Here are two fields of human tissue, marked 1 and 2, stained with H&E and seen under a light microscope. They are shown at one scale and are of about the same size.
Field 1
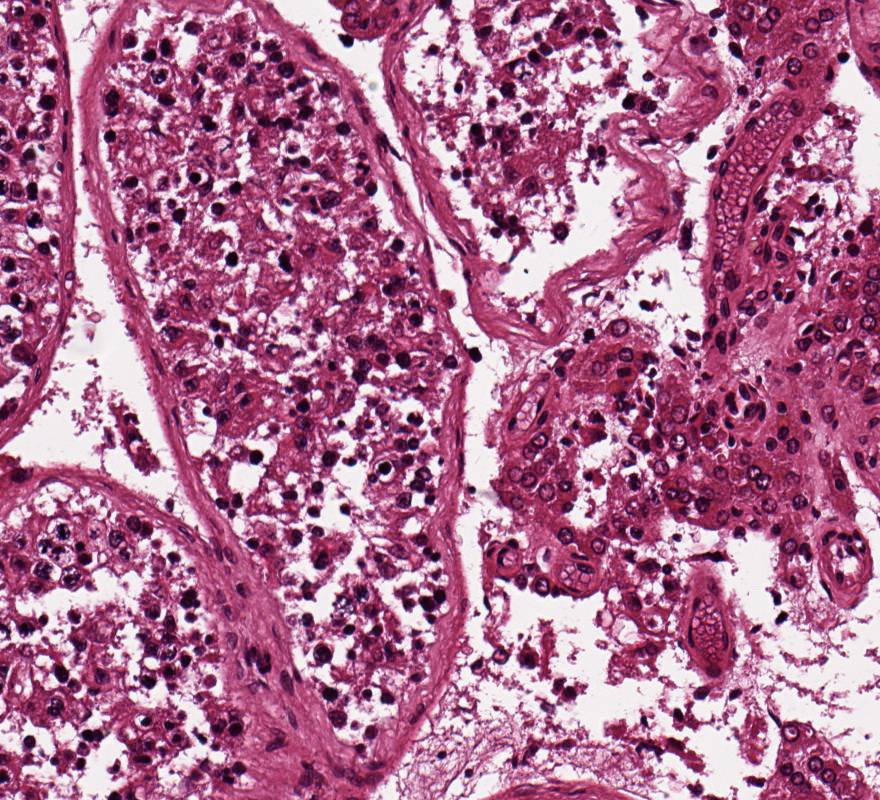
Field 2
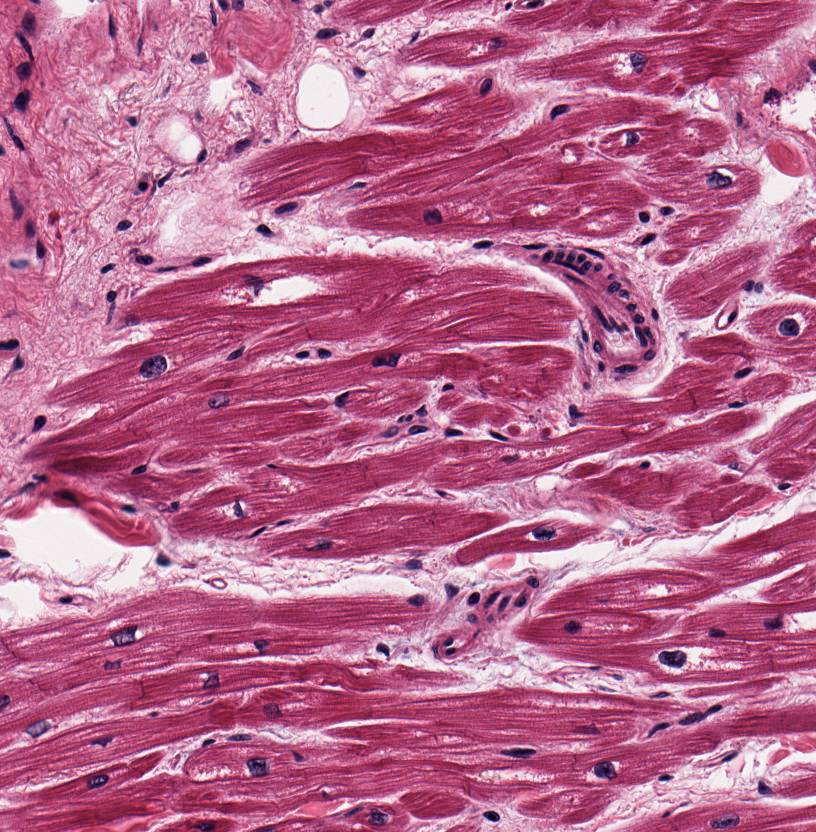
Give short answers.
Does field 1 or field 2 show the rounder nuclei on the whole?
1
